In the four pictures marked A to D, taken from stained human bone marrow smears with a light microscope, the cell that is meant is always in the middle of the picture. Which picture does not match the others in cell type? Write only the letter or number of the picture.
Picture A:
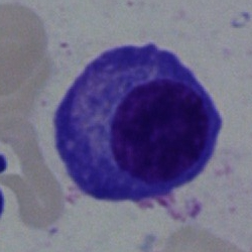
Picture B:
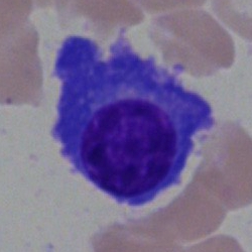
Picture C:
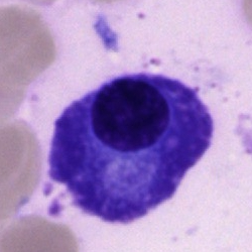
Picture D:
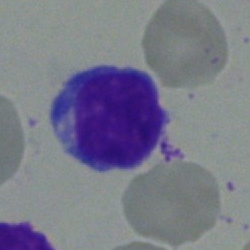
D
